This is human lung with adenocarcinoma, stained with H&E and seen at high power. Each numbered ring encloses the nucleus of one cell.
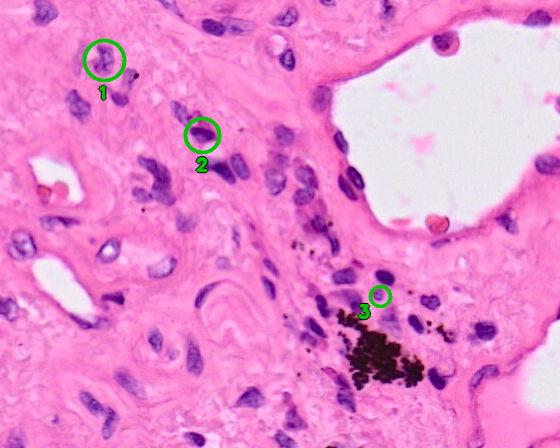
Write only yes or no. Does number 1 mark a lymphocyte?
no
